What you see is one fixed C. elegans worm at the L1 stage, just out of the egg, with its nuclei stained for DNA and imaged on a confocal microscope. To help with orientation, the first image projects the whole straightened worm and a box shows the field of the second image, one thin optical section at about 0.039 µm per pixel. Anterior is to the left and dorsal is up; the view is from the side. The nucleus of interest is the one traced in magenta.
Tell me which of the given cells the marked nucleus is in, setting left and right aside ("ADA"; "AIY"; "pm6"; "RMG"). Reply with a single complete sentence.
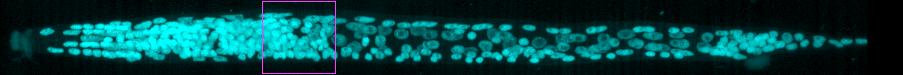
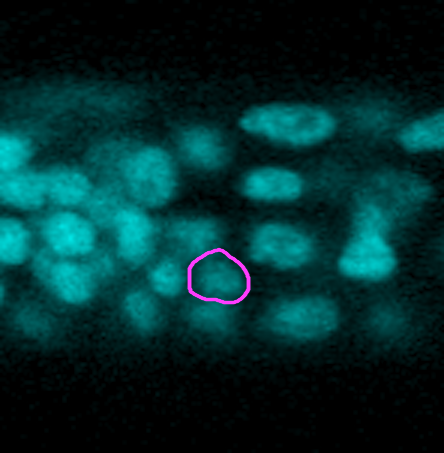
The marked nucleus is that of RMG, a neuron.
